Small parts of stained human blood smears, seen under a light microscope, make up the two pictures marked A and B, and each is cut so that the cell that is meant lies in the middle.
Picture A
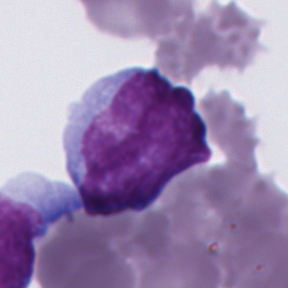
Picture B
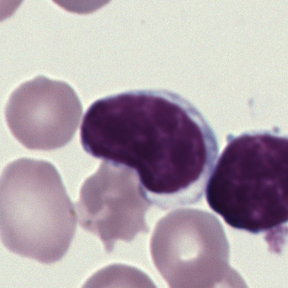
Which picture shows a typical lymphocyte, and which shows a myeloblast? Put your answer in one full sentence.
Picture A shows a myeloblast and picture B shows a typical lymphocyte.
